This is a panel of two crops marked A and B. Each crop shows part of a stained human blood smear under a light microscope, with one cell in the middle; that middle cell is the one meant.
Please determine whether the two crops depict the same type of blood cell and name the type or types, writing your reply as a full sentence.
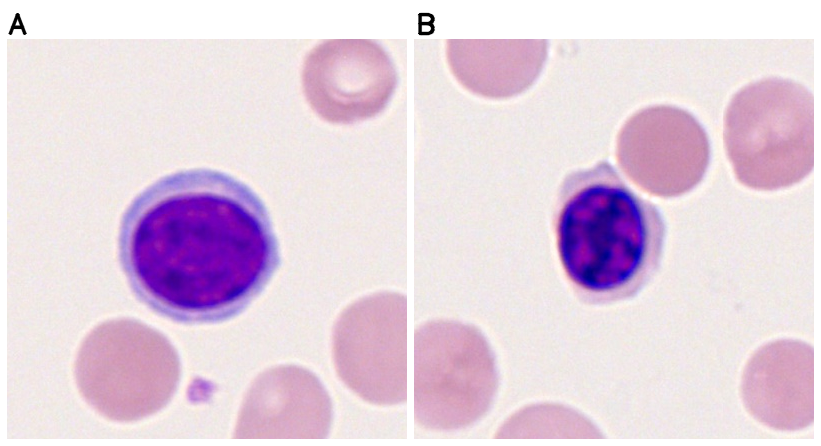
No, the cell in crop A is a lymphocyte, and the cell in crop B is an erythroblast.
